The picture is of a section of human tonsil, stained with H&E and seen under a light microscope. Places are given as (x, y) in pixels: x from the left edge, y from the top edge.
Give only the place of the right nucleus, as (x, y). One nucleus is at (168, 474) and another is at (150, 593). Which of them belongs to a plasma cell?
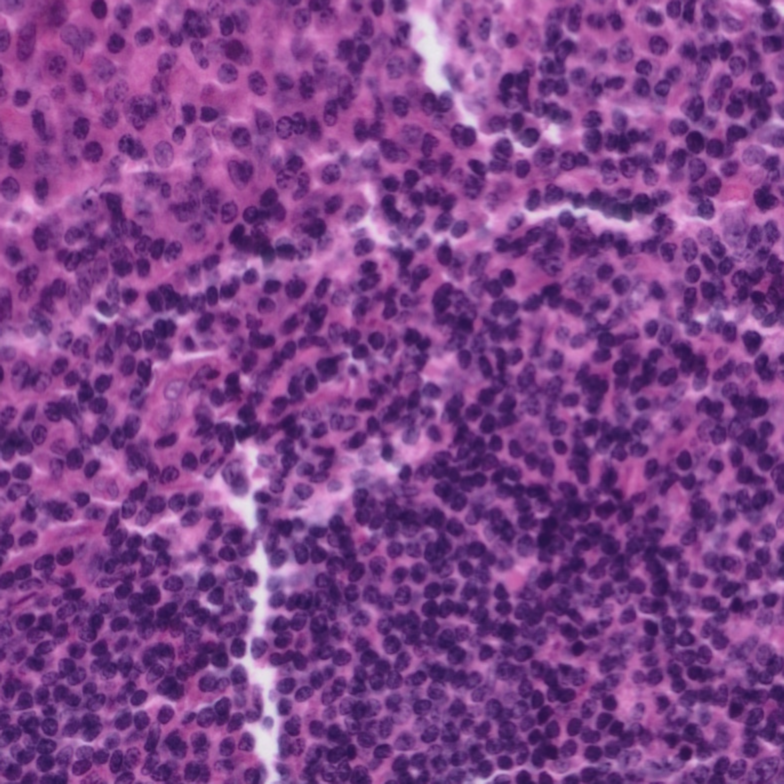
(168, 474)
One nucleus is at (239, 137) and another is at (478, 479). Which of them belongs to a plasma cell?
(239, 137)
